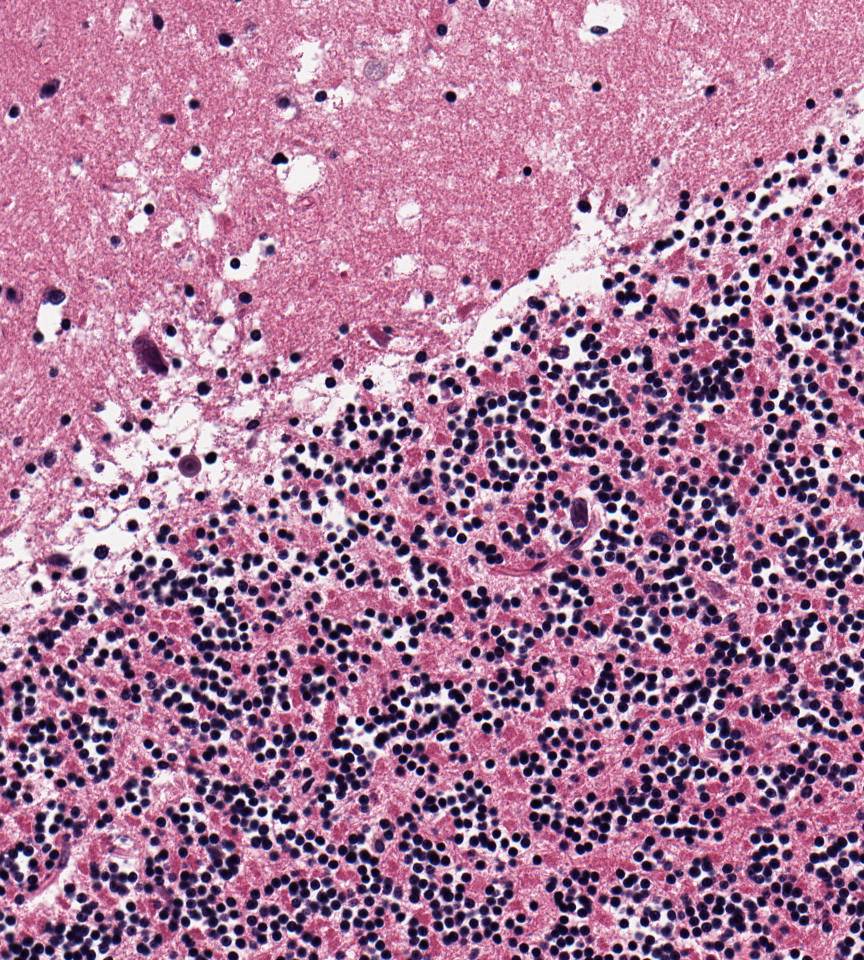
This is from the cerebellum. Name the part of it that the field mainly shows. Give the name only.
granular layer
